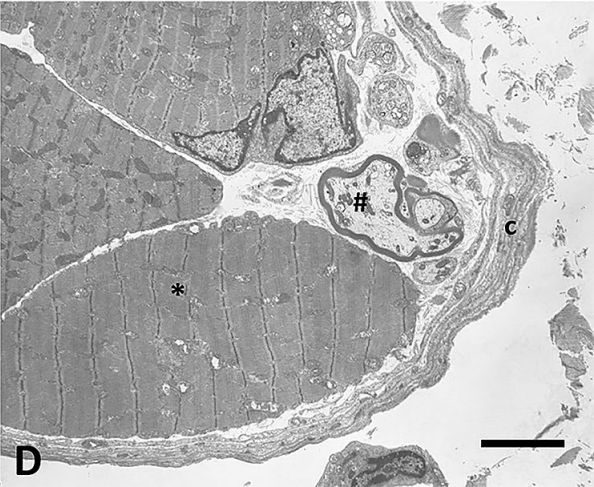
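This electron micrograph shows a small group of skeletal muscle fibres and nerve fibres enclosed in a connective tissue capsule. The muscle fibres are cut in longitudinal or oblique section and are packed with myofibrils showing regular cross-banding, with mitochondria between them. Between the muscle fibres lie nuclei with irregular outlines and a small nerve bundle in which axons are surrounded by dark sheaths. On the right, thin flattened layers of cells run concentrically around the whole group, forming the capsule. Outside the capsule the space is largely empty with loose fragments.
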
